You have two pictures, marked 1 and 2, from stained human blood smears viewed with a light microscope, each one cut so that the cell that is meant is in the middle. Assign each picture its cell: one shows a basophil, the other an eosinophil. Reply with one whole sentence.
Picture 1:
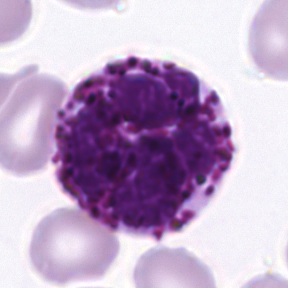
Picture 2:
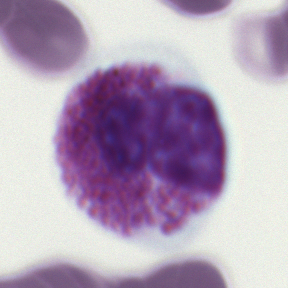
Picture 1 shows a basophil and picture 2 shows an eosinophil.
